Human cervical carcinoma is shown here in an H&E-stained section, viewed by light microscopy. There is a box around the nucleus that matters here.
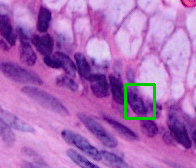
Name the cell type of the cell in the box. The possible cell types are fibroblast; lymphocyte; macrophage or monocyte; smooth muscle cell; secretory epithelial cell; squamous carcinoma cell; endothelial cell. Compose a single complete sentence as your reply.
The category to which the cell in the box belongs is that of a secretory epithelial cell.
